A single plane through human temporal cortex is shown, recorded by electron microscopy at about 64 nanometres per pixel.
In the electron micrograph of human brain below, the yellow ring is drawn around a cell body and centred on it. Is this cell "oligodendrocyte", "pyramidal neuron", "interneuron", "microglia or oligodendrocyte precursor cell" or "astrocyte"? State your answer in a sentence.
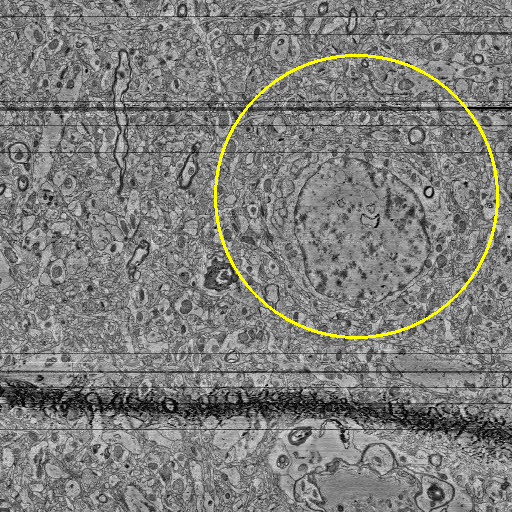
The cell in the middle of the ring is an interneuron.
